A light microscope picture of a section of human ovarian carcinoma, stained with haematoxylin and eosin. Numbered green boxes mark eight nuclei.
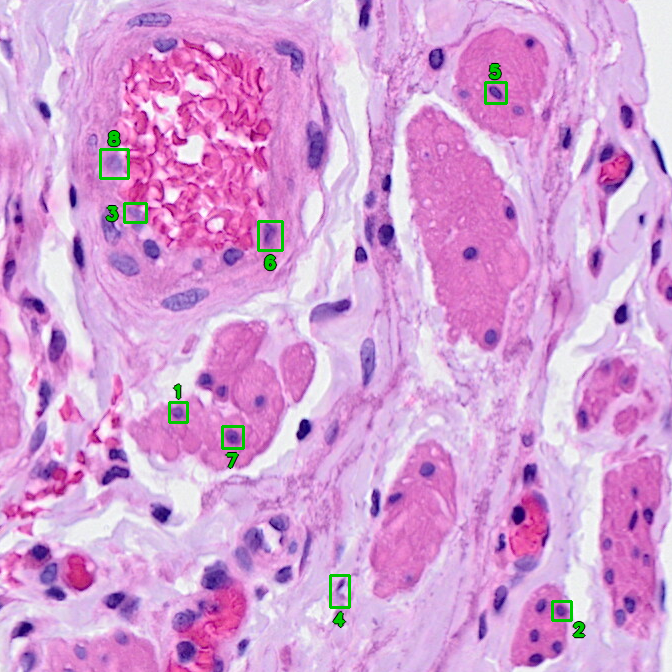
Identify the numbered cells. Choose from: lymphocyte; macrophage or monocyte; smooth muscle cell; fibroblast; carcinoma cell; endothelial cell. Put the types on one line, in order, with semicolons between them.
smooth muscle cell; smooth muscle cell; endothelial cell; fibroblast; smooth muscle cell; endothelial cell; smooth muscle cell; endothelial cell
